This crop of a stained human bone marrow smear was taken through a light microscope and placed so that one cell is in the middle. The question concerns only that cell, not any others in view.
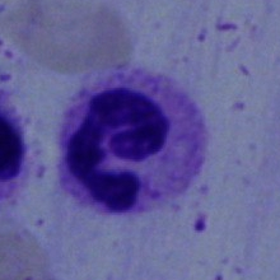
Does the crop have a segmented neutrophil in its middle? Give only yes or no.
no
